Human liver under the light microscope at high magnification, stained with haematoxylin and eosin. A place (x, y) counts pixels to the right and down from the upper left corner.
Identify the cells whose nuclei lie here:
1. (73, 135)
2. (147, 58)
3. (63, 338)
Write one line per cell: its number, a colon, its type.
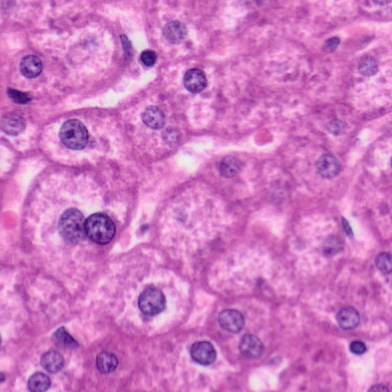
1: hepatocyte
2: lymphocyte
3: endothelial cell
